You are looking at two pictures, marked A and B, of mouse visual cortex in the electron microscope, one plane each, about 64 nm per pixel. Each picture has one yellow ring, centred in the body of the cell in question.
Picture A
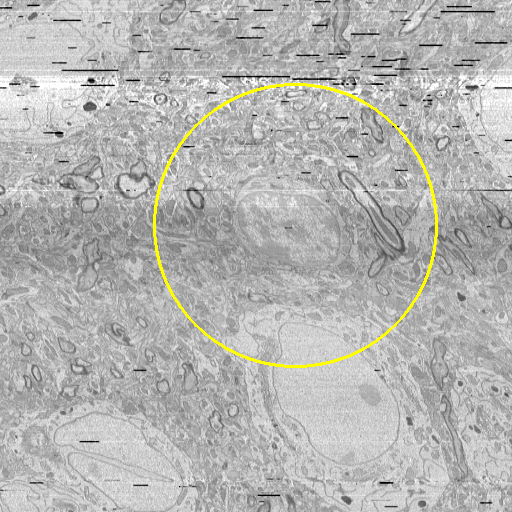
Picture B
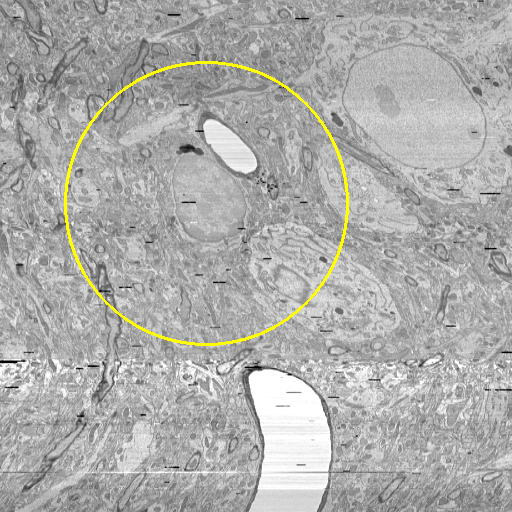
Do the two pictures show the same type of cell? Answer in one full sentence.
No. Picture A shows an oligodendrocyte, but picture B shows a microglial cell.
